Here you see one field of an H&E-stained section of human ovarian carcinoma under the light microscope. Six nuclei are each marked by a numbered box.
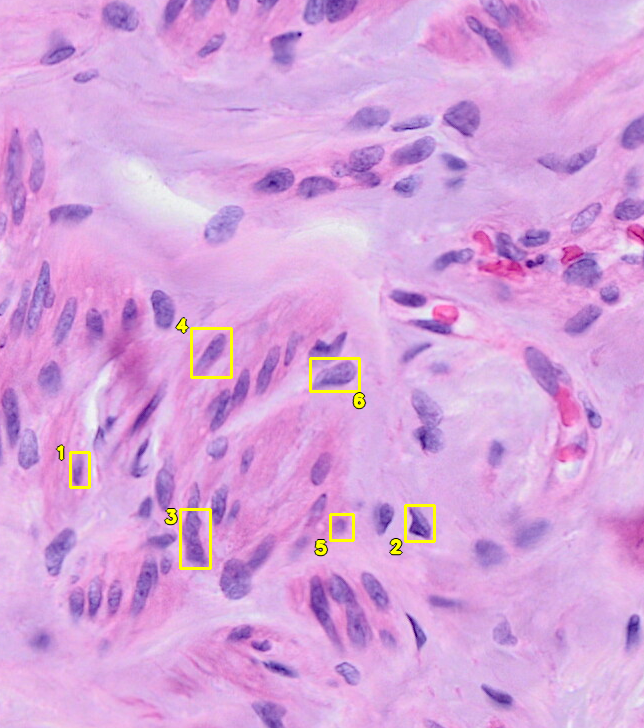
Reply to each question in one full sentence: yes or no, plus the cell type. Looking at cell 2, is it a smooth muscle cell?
No, calling cell 2 a smooth muscle cell is a mistake; it is a fibroblast.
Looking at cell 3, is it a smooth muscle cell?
Yes, the cell at number 3 is a smooth muscle cell.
